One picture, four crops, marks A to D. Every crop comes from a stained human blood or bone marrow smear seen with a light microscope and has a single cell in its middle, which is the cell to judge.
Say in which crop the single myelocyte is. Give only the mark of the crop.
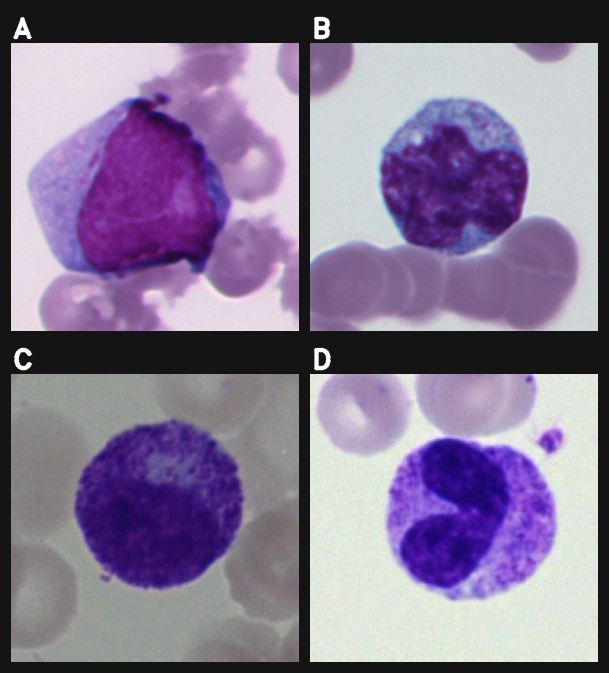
C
